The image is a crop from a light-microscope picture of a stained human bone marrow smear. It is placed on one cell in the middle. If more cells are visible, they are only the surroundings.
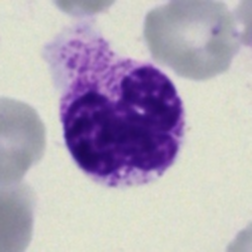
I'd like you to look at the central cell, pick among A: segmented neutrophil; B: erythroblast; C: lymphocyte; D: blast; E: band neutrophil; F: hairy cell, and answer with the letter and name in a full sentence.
In the centre of the crop there is a segmented neutrophil, making option A correct.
